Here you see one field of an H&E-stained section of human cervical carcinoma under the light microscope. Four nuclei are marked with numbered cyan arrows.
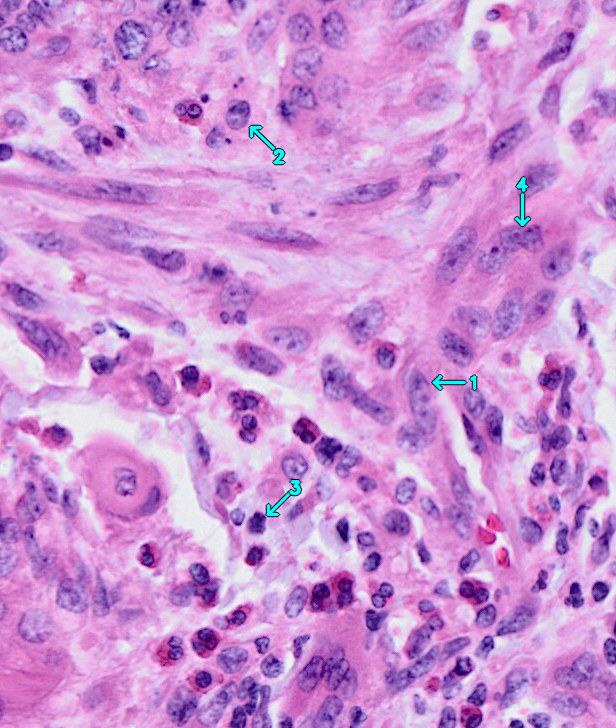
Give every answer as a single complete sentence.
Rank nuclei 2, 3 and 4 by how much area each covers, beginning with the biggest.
Going from the biggest nucleus down to the smallest gives 4, 2, 3.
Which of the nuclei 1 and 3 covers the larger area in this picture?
At about 1.5 times the area of nucleus 3, nucleus 1 is the larger of the two.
